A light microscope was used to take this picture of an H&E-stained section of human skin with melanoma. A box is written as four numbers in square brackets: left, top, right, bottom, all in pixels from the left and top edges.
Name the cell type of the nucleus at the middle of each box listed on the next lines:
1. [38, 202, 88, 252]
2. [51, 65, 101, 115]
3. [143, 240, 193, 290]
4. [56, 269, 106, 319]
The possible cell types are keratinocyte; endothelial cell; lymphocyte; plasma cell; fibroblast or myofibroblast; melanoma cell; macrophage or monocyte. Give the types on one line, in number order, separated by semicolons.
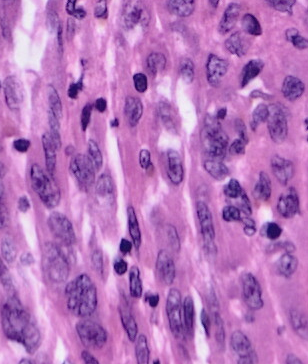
melanoma cell; lymphocyte; melanoma cell; melanoma cell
